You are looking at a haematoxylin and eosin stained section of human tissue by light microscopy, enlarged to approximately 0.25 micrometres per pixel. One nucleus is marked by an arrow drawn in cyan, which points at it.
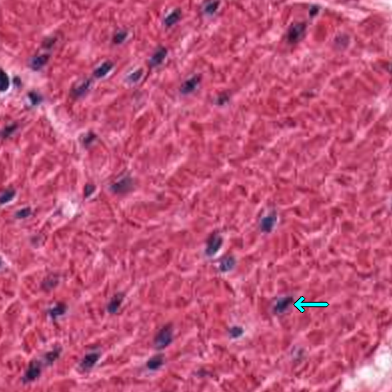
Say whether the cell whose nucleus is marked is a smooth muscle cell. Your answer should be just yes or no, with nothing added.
yes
